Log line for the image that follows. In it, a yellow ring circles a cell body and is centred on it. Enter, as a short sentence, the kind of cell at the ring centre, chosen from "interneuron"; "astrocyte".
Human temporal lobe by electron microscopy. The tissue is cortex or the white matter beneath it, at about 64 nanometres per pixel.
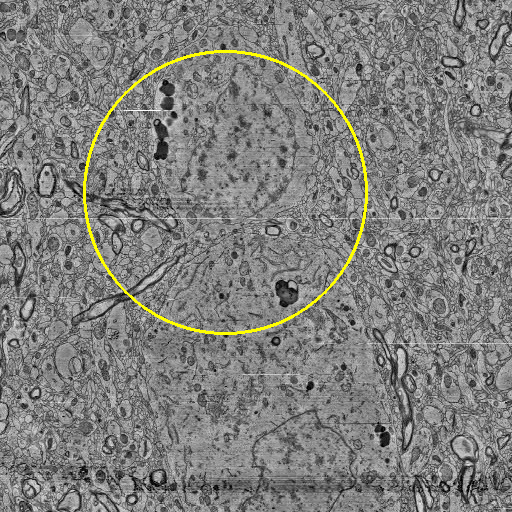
The ring centre is occupied by an interneuron.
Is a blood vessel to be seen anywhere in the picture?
No, none shows.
